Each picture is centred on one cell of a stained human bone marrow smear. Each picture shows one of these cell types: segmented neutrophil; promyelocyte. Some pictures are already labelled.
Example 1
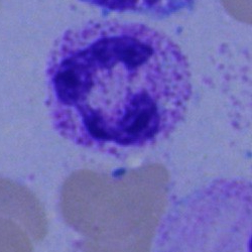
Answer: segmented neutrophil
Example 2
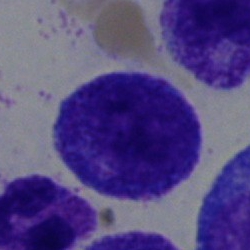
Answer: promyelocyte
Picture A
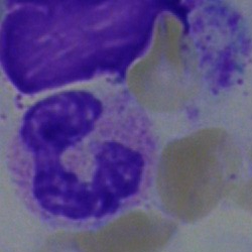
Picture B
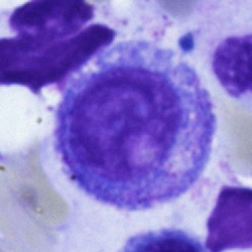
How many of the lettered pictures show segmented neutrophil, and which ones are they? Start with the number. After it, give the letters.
Count: 1 (A)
